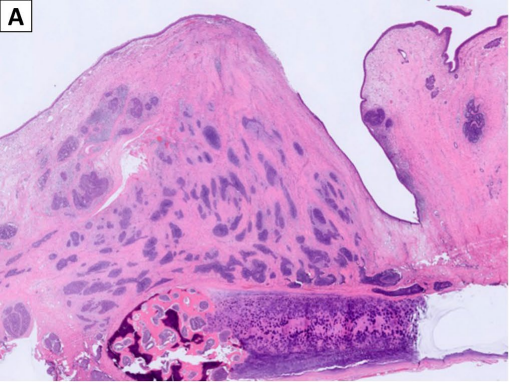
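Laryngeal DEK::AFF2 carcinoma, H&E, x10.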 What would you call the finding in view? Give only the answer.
Infiltrating solid nests.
